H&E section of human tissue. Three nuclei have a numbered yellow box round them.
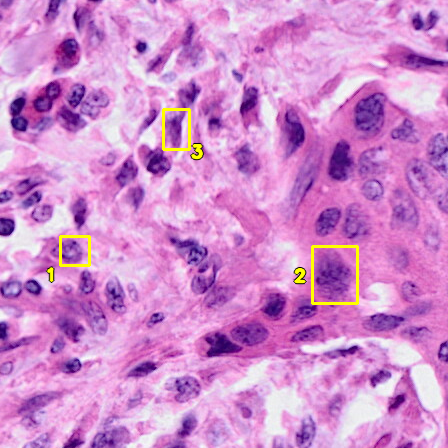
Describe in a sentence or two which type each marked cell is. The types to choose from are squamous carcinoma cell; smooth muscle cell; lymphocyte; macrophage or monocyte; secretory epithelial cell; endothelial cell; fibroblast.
Cell 1 is a macrophage or monocyte. Cell 2 is a squamous carcinoma cell. Cell 3 is a fibroblast.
